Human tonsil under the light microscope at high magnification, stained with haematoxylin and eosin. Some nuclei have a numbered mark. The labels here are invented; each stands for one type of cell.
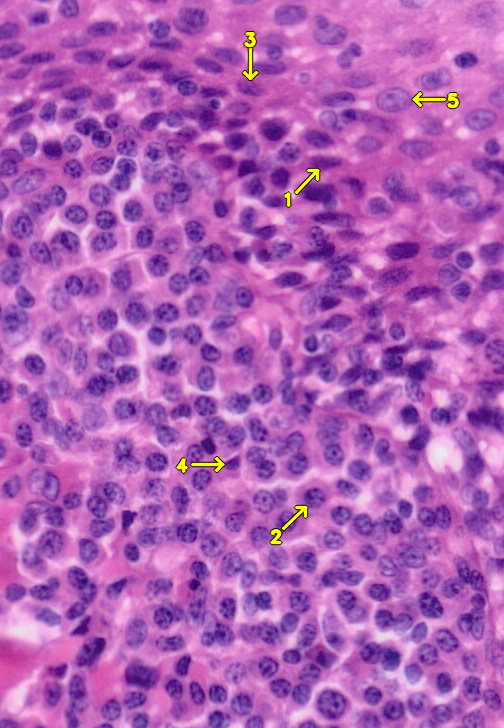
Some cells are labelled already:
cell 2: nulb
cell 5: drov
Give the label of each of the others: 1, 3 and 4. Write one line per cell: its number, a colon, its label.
1: drov
3: drov
4: nulb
